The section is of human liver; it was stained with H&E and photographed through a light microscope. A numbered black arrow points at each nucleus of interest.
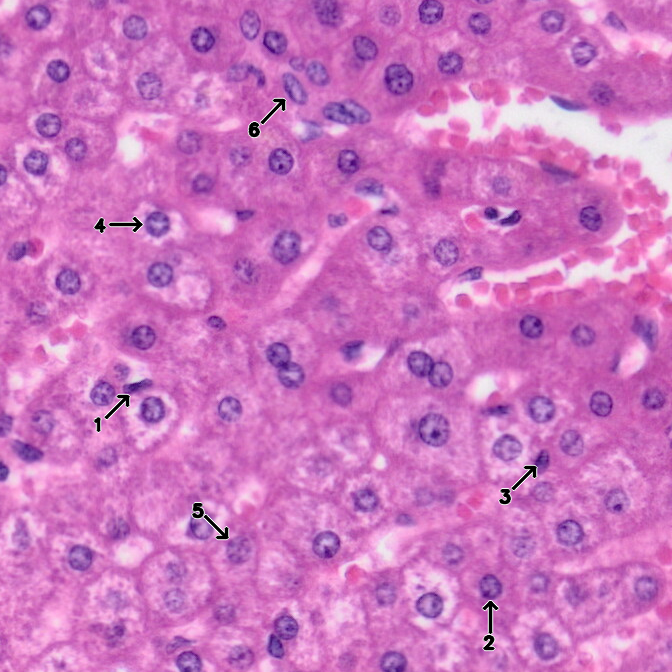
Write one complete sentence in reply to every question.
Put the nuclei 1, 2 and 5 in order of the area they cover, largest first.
The nuclei rank 5, 2, 1, from largest to smallest.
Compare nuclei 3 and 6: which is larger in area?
Nucleus 6 covers more area, about 2 times as much as nucleus 3.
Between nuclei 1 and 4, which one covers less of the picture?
With nucleus 4 about 2 times its size, nucleus 1 is the smaller of the two.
